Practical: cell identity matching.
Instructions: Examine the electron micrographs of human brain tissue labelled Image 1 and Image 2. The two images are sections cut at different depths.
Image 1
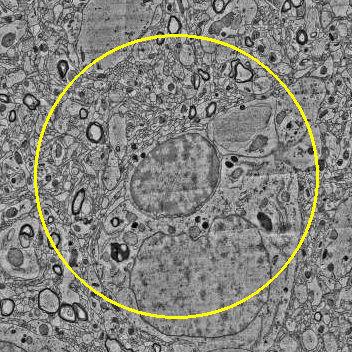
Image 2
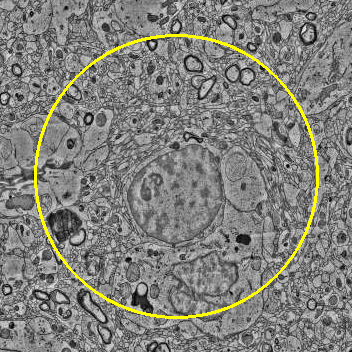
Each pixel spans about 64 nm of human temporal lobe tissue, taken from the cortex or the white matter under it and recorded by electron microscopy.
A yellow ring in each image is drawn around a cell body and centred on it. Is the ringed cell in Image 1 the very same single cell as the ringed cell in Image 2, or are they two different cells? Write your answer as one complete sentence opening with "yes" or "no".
Yes, both rings identify a single, shared cell.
